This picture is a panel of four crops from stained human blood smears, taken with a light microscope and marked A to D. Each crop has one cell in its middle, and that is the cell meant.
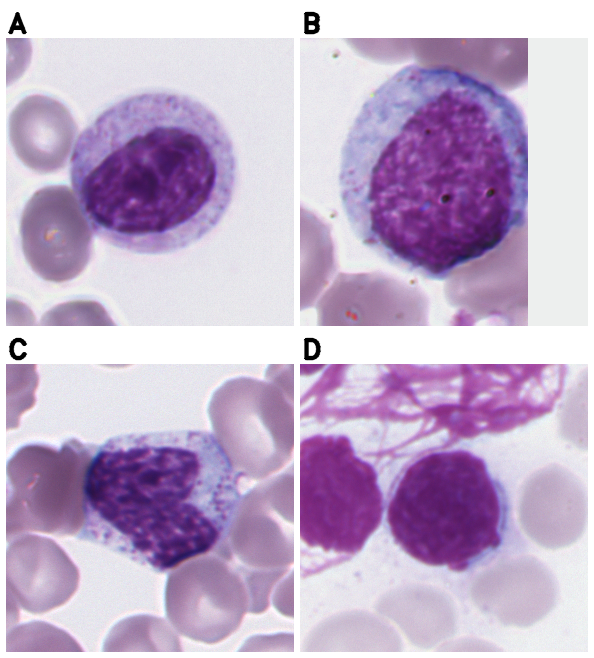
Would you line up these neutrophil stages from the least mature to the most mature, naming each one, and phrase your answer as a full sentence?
In ascending order of maturity, the sequence is crop D (a myeloblast), crop B (a promyelocyte), crop A (a myelocyte) and crop C (a band neutrophil).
